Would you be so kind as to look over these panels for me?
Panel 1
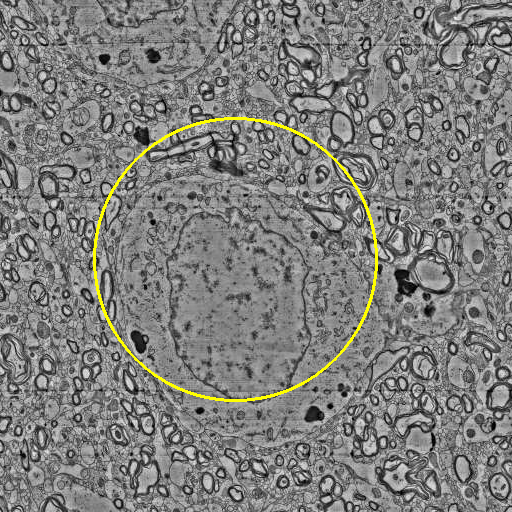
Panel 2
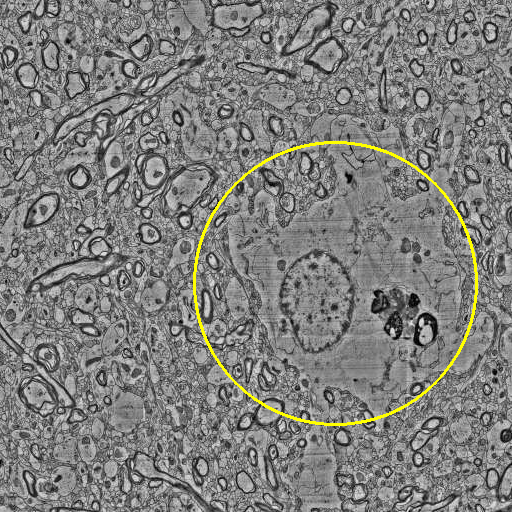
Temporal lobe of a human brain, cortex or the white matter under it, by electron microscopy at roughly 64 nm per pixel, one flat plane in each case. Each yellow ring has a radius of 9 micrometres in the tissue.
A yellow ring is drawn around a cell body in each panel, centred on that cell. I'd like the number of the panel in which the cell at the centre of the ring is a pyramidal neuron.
1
